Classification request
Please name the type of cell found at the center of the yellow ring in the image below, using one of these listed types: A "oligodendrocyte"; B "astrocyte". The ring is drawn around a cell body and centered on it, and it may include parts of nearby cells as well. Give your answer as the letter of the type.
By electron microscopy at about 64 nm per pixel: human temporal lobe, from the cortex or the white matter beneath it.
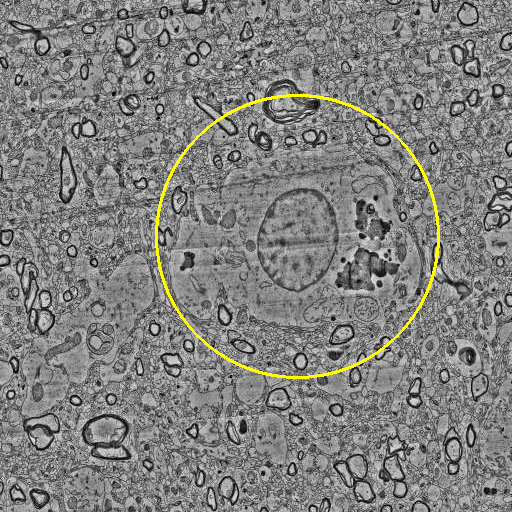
B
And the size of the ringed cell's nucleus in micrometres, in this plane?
The nucleus is approximately 6 micrometers long by 5 micrometers wide in this plane.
